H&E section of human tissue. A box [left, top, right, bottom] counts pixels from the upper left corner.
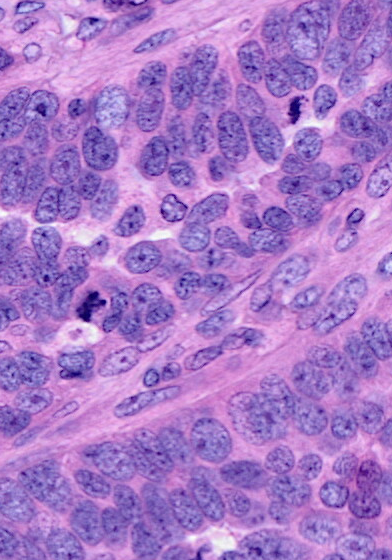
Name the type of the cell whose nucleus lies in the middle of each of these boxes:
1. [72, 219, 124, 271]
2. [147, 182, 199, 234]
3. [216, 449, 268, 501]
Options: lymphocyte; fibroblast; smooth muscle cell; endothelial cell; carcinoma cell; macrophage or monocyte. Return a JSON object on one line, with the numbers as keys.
{"1": "macrophage or monocyte", "2": "macrophage or monocyte", "3": "carcinoma cell"}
